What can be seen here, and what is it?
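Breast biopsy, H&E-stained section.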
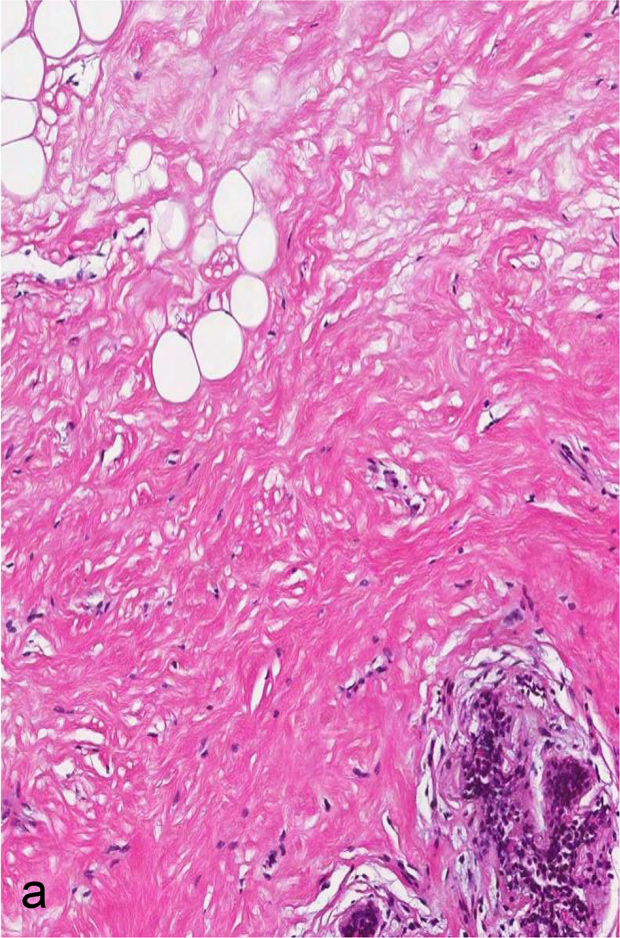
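Sparse, small, elongated dark nuclei lie scattered among these fibres, with small clear clefts between the bundles. At upper left, a cluster of large round clear spaces with thin walls marks fat cells whose contents are unstained. At lower right, compact clusters of crowded, deep purple nuclei form the epithelium. These clusters are surrounded by a rim of looser tissue that sets them apart from the dense pink stroma.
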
